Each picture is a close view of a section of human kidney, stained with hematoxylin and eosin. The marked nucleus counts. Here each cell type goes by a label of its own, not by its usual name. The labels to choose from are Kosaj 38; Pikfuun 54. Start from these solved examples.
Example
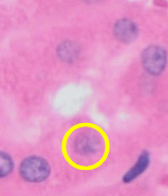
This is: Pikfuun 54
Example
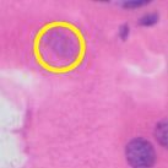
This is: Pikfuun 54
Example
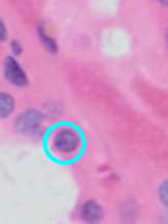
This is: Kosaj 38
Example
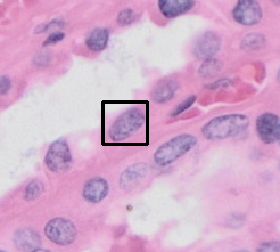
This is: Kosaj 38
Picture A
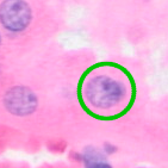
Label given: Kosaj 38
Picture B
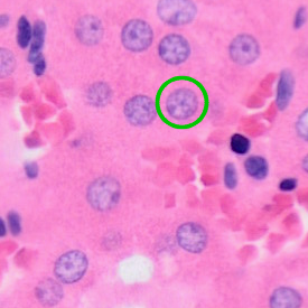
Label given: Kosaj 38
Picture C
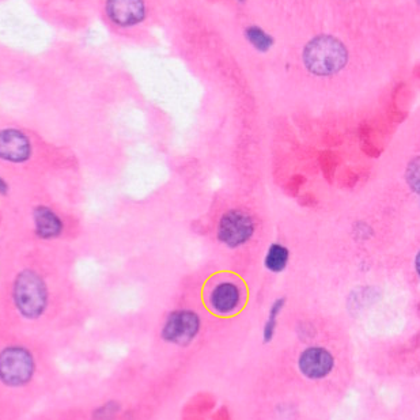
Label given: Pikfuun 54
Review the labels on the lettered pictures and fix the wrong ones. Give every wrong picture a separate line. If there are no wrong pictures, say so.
A is labelled Kosaj 38; correct label: Pikfuun 54
B is labelled Kosaj 38; correct label: Pikfuun 54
